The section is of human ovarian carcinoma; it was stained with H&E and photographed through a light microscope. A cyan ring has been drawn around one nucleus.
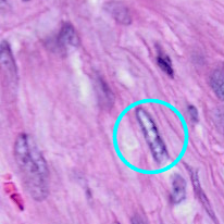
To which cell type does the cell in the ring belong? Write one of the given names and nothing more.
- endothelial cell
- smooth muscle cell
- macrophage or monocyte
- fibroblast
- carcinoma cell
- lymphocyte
fibroblast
